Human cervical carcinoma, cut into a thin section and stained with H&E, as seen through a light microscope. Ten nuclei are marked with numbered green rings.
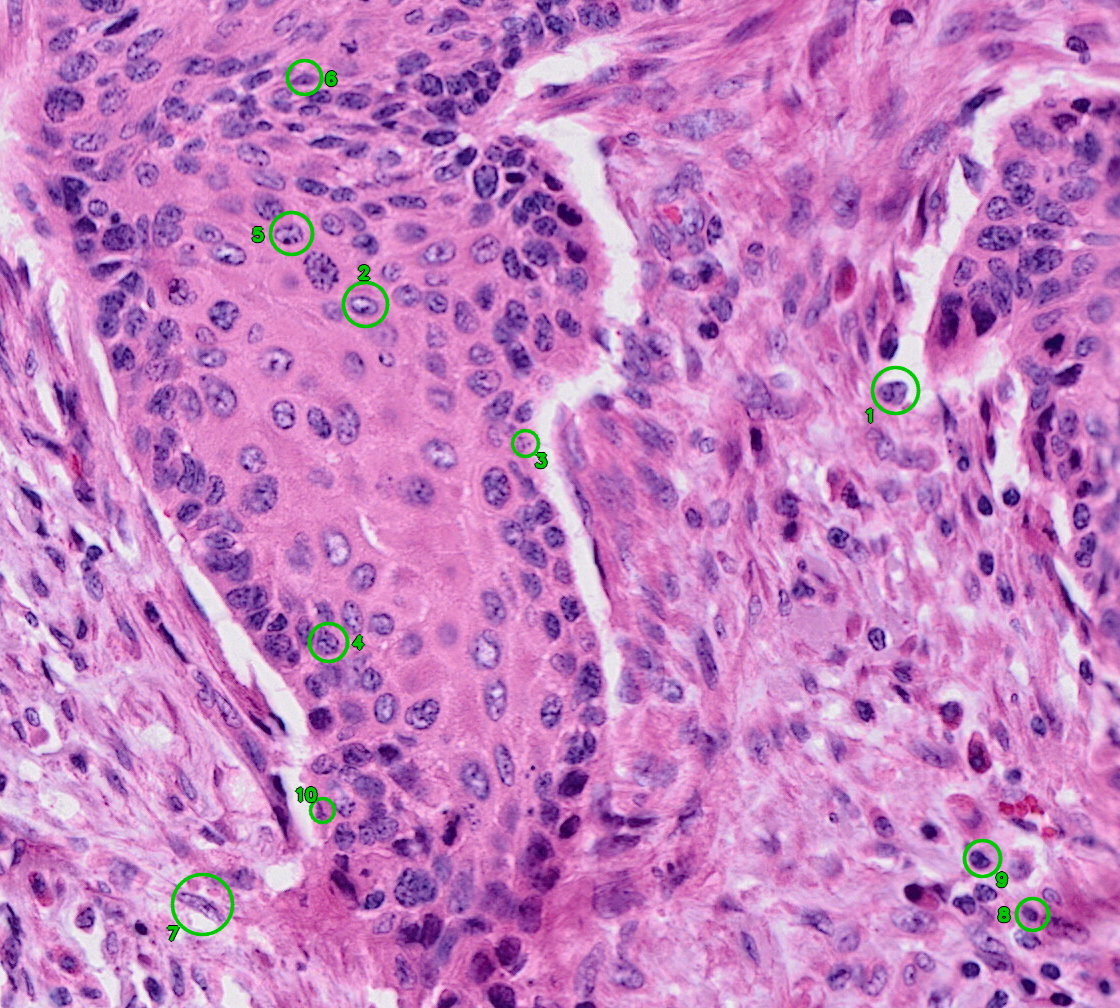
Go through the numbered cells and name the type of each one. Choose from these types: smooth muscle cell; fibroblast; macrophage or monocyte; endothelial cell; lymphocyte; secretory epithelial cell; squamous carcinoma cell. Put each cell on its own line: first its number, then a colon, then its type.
1: macrophage or monocyte
2: squamous carcinoma cell
3: squamous carcinoma cell
4: squamous carcinoma cell
5: squamous carcinoma cell
6: squamous carcinoma cell
7: fibroblast
8: lymphocyte
9: lymphocyte
10: squamous carcinoma cell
